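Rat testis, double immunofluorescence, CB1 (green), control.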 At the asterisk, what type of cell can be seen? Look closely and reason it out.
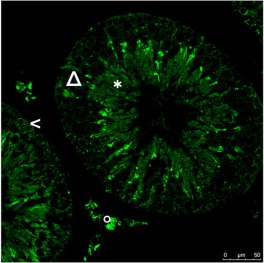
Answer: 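The asterisk lies in the inner part of the seminiferous tubule, toward the lumen. Bright elongated green streaks radiate toward the lumen around it.
Answer: Elongated spermatids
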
